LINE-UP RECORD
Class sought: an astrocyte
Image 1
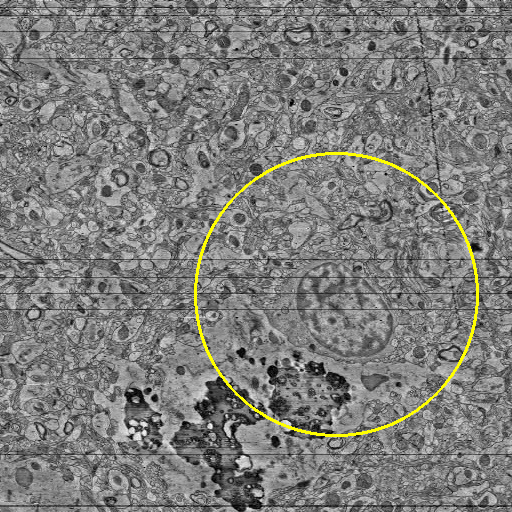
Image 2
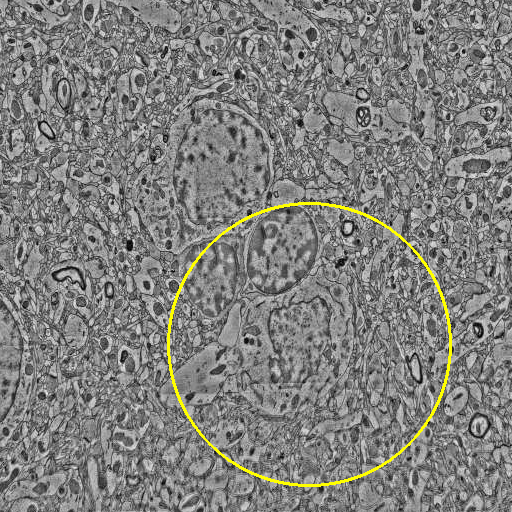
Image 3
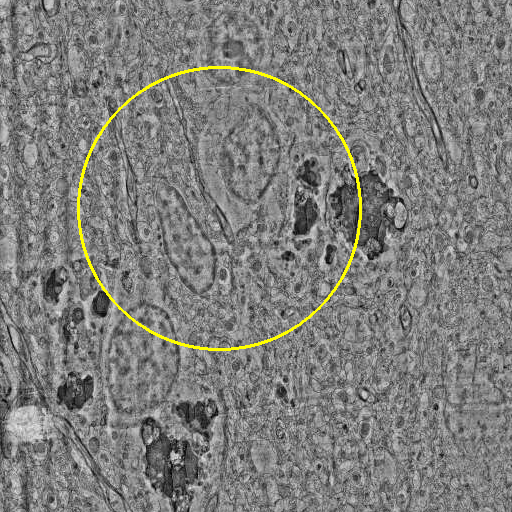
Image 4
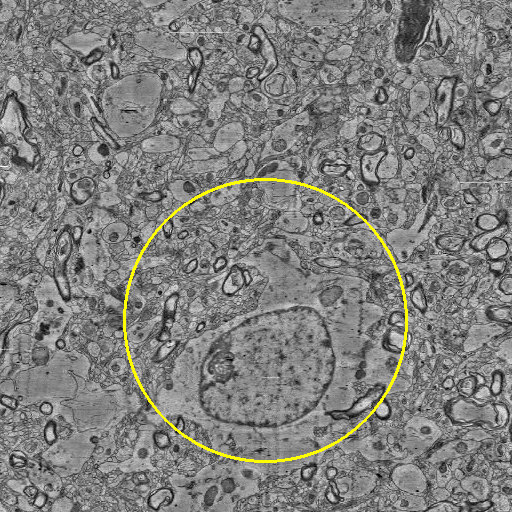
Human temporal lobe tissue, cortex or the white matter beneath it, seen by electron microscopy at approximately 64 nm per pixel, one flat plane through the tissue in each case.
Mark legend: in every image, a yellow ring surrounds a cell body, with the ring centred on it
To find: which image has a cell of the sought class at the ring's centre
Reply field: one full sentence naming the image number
The ring-centred cell of image 4 belongs to the class sought.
